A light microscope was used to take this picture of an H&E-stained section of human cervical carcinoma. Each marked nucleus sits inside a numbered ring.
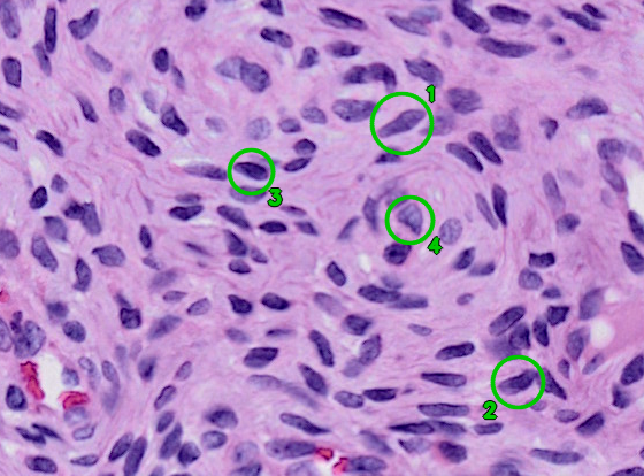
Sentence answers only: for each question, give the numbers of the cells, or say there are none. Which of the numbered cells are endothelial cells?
Only the cell with the number 4 is an endothelial cell.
